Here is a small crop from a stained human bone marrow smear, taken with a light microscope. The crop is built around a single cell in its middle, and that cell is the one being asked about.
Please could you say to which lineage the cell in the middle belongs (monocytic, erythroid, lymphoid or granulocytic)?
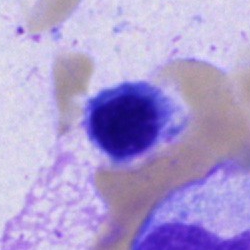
erythroid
